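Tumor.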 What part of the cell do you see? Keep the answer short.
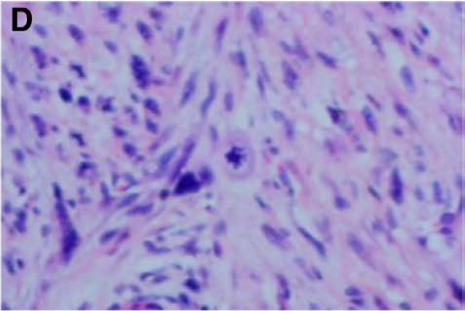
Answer: Eosinophilic cytoplasm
